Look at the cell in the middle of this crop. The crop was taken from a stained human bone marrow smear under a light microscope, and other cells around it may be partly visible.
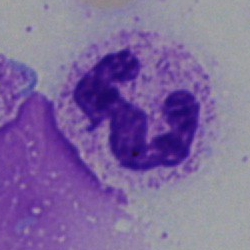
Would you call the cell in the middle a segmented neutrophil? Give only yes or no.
yes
